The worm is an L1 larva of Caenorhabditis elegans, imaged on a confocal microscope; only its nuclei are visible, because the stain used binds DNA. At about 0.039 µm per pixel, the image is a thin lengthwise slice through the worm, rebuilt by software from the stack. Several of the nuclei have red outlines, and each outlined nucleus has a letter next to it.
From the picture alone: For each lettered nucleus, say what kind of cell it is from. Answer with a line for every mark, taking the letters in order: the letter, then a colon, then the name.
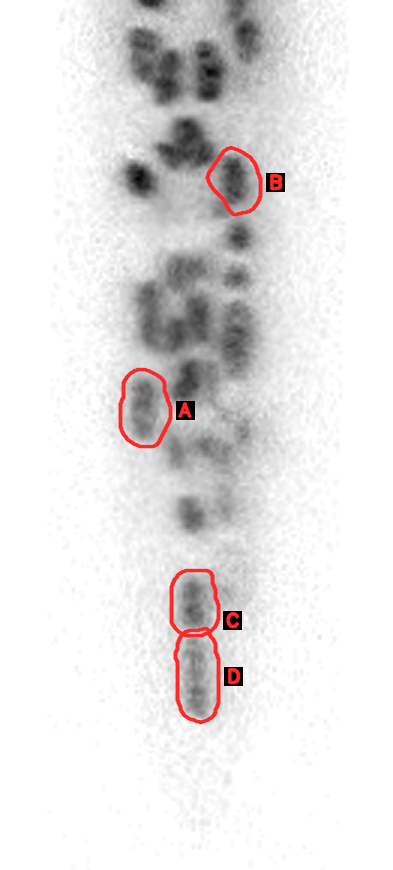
A: body wall muscle cell
B: glial cell (sheath or socket)
C: hypodermal cell (hyp)
D: hypodermal cell (hyp)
